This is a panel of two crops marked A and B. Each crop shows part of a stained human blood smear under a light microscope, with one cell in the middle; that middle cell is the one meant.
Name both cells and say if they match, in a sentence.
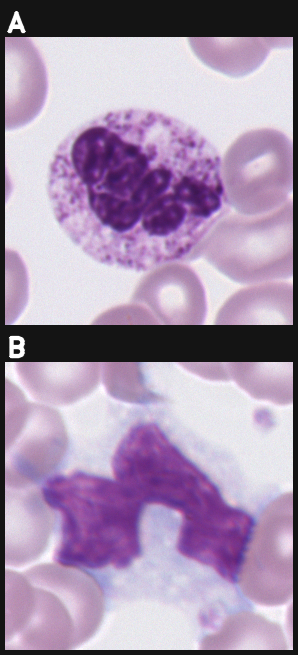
No, crop A shows a neutrophil, whereas a monocyte is what crop B shows.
